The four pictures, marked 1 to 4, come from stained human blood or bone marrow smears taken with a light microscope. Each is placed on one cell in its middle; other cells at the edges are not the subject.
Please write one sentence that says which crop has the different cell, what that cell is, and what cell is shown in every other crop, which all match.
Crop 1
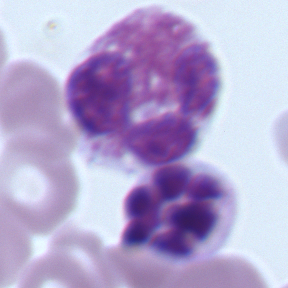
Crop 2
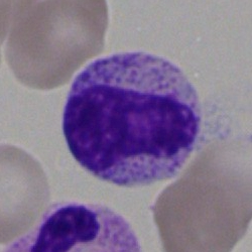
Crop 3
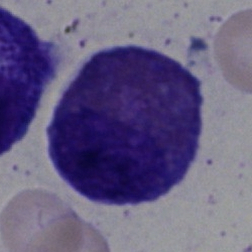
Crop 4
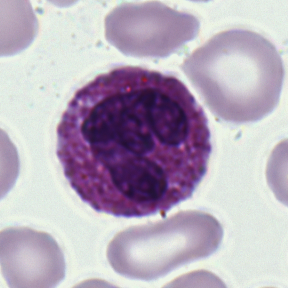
Identified in crop 2 is a metamyelocyte, whereas the other crops all show eosinophils.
